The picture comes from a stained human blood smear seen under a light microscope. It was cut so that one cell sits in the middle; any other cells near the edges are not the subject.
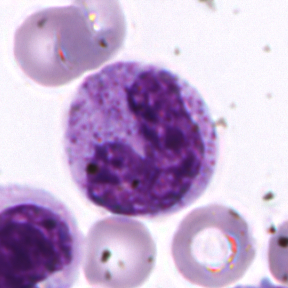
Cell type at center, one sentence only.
The cell occupying the middle of the crop is a band neutrophil.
